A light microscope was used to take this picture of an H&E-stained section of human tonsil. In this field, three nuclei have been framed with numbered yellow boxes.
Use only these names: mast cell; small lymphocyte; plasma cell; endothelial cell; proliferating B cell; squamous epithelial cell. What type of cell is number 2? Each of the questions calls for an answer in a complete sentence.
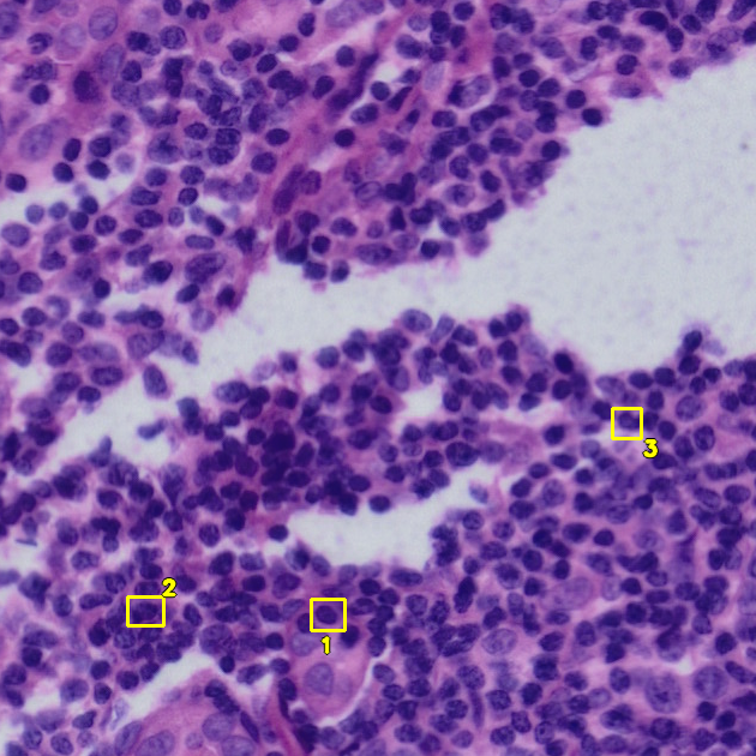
The correct answer for cell 2 is a small lymphocyte.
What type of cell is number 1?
Among the marked nuclei, number 1 belongs to an endothelial cell.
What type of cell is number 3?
The nucleus marked 3 is the nucleus of a small lymphocyte.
